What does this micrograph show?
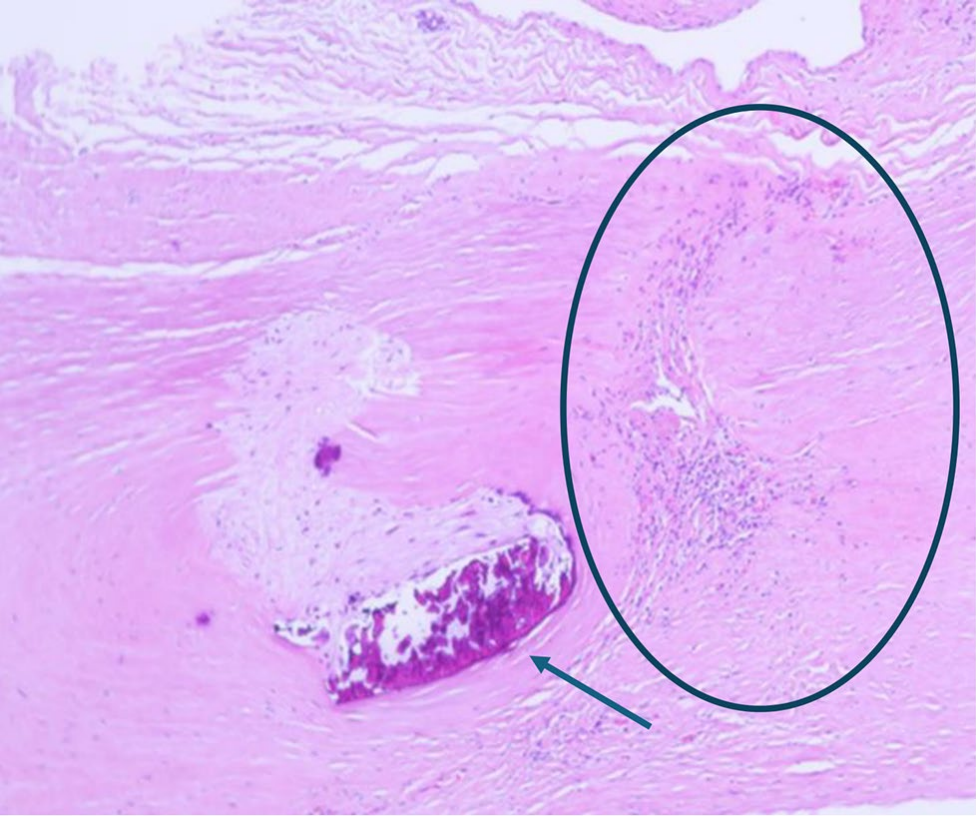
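Parallel, wavy layers of pink fibrous tissue make up the wall, and few nuclei are scattered through them. Within the wall lies a sharply bordered, granular, dark purple deposit, and above it is a pale, loose area. To one side, a focus of densely packed small dark round nuclei surrounds small slit-like spaces.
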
